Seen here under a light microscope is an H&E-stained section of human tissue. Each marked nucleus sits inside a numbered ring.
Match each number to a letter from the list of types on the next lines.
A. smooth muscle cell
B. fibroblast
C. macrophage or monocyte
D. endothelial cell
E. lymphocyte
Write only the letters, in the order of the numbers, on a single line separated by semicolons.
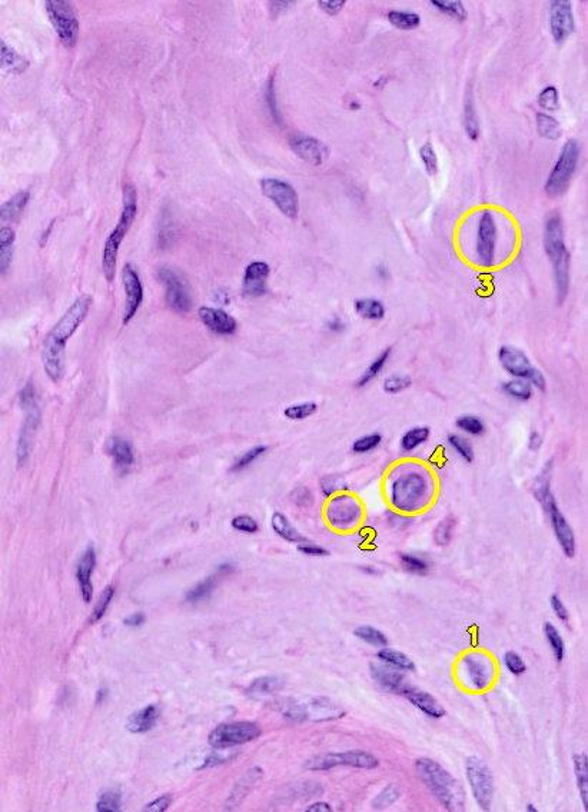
B; D; B; D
